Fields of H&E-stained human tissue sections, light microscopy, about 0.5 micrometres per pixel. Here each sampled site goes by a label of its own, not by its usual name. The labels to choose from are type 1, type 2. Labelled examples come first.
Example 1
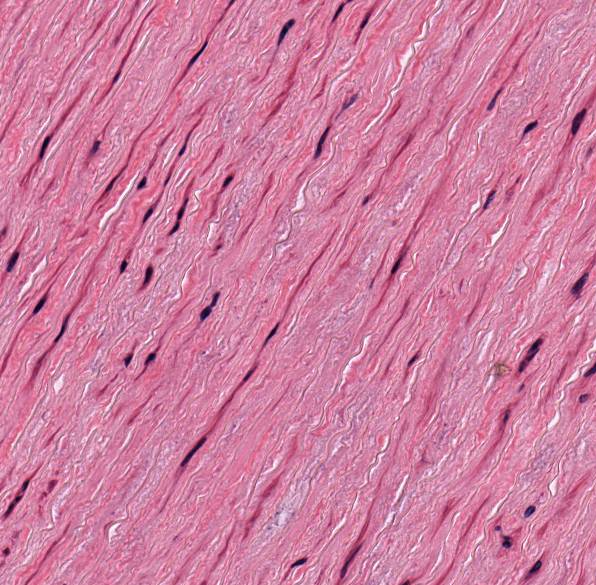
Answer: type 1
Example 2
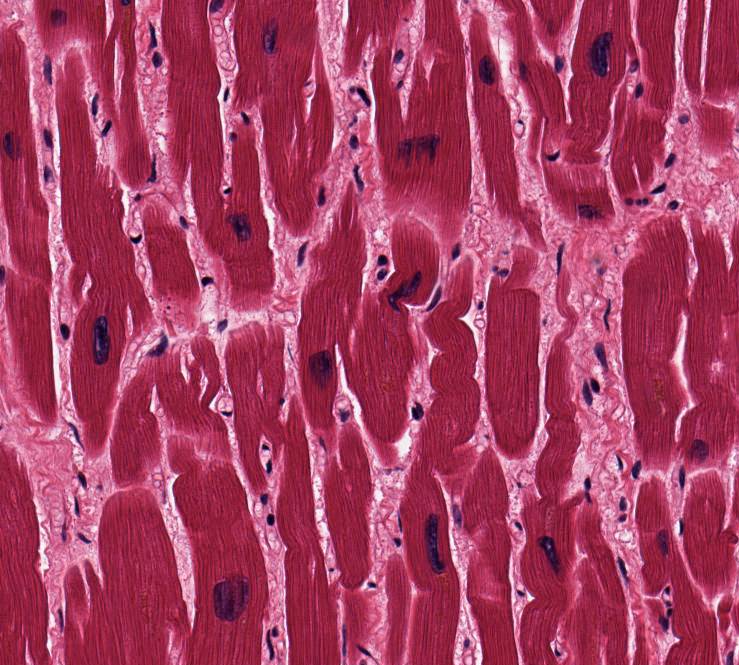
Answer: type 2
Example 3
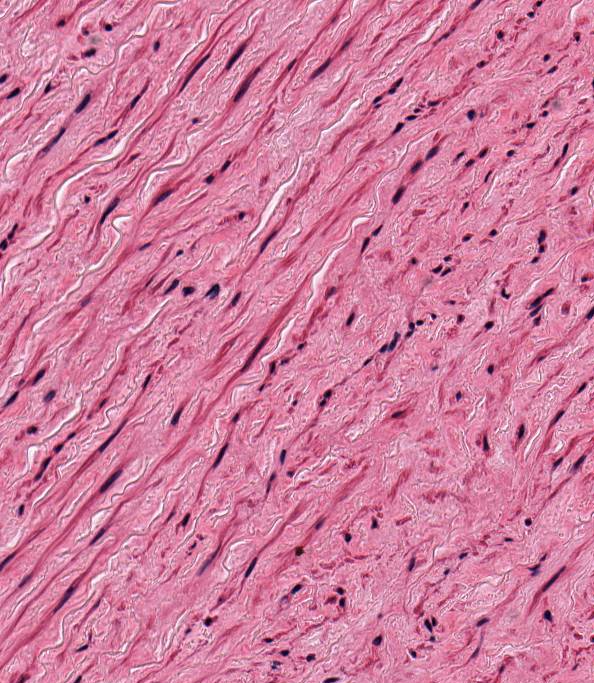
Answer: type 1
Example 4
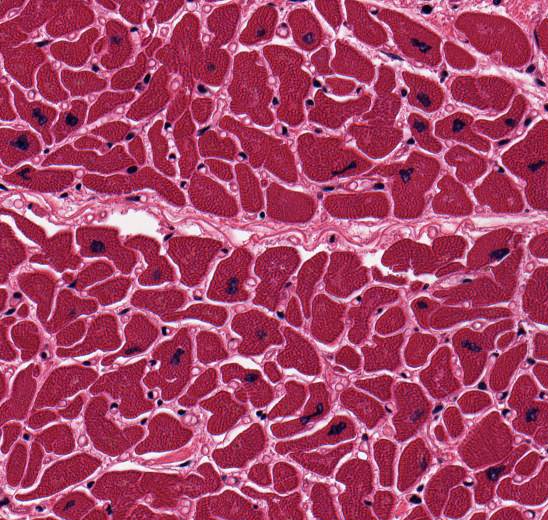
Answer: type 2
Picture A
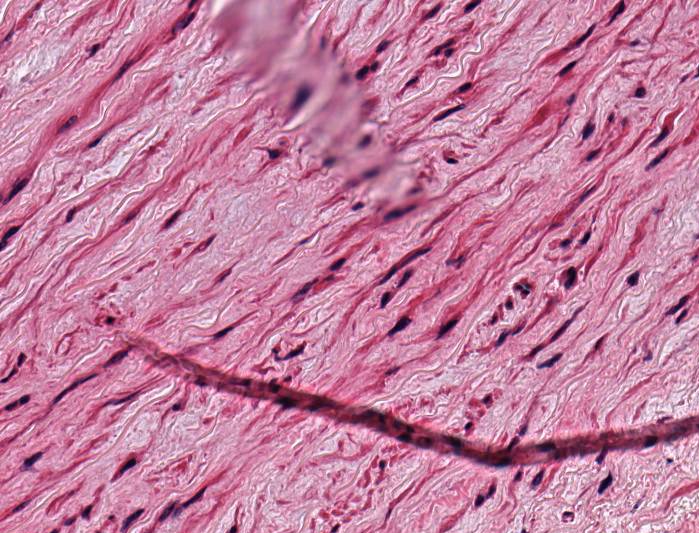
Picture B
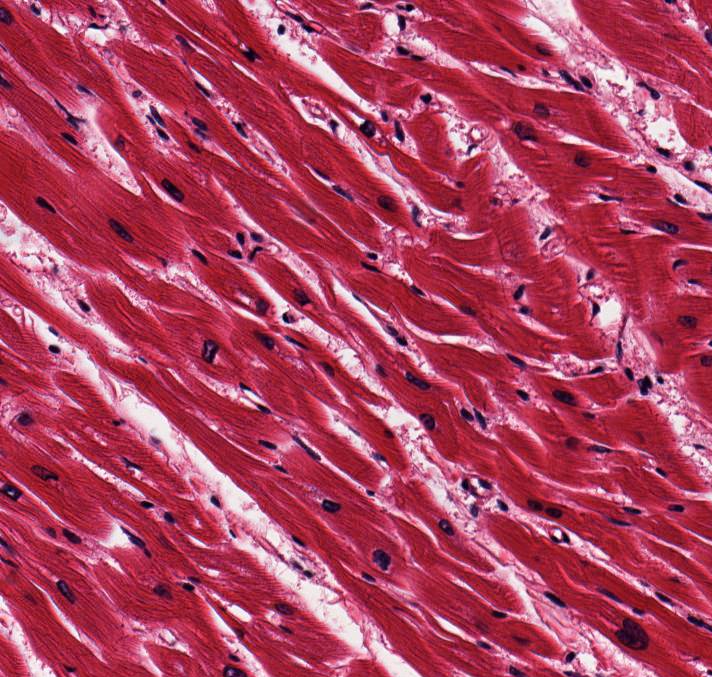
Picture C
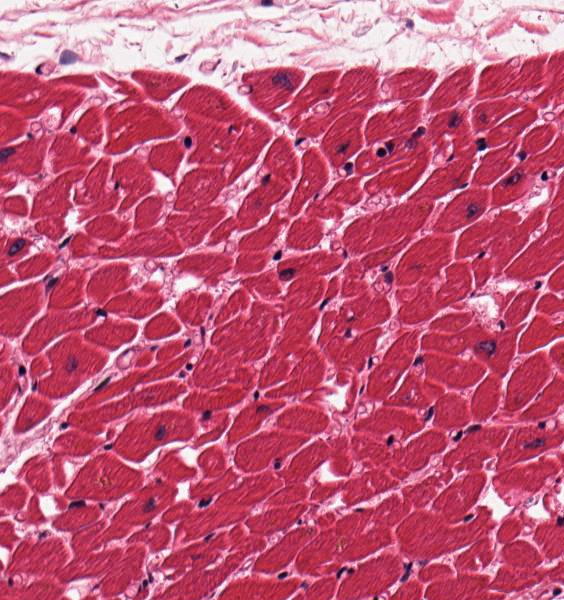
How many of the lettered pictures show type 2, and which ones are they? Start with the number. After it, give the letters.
2, namely B, C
